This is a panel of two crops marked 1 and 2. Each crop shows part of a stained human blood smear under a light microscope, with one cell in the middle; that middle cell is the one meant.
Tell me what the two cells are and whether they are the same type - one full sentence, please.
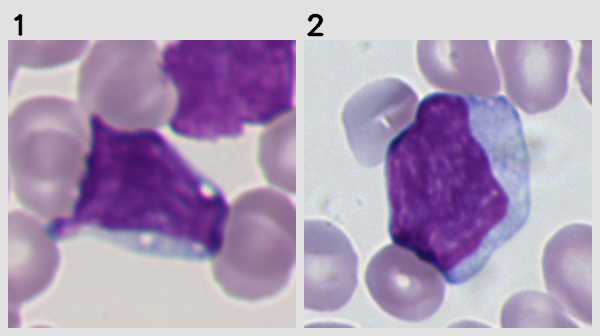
No, a typical lymphocyte is depicted by crop 1, a myeloblast by crop 2.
